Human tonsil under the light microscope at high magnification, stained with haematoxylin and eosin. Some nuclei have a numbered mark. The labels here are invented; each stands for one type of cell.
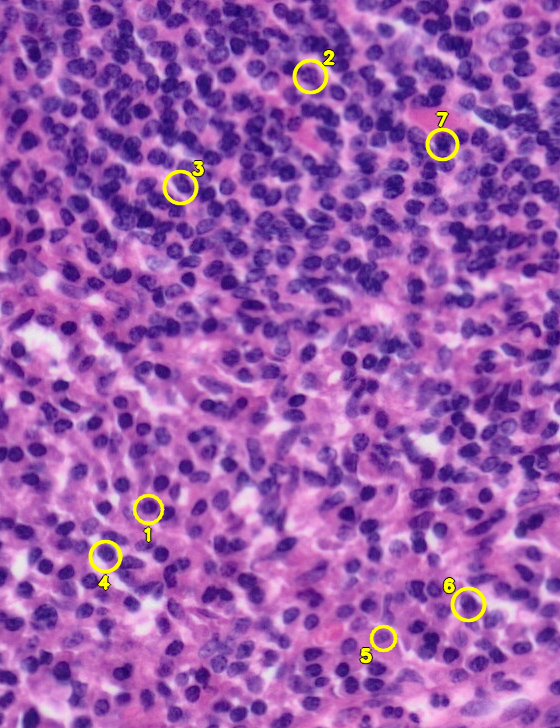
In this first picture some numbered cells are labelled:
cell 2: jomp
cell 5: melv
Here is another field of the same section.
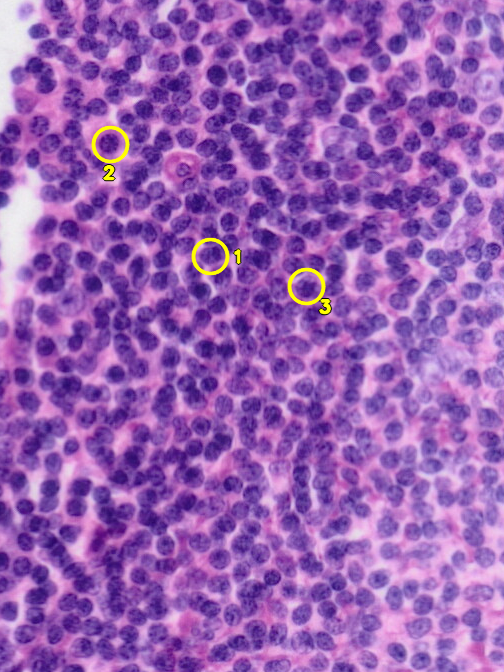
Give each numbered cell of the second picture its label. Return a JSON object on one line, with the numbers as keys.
{"1": "jomp", "2": "melv", "3": "jomp"}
